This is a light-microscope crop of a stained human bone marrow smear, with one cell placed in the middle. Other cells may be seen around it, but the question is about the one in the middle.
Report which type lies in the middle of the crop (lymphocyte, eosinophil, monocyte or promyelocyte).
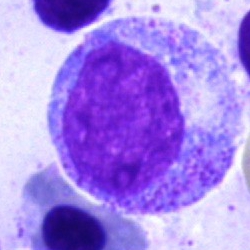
promyelocyte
